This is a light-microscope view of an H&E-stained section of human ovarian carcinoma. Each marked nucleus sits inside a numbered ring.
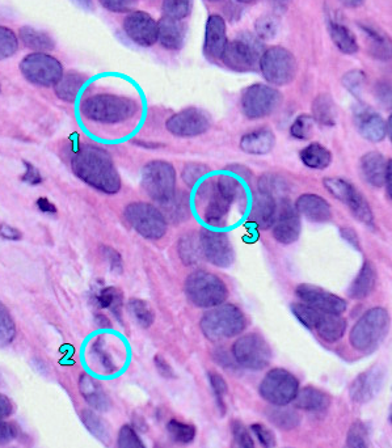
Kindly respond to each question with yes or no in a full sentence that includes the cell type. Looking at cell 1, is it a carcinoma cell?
Yes, the cell marked with number 1 is a carcinoma cell.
